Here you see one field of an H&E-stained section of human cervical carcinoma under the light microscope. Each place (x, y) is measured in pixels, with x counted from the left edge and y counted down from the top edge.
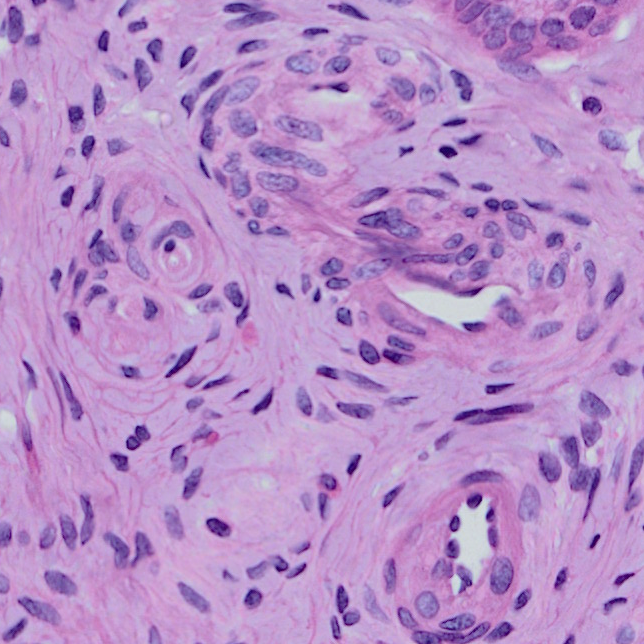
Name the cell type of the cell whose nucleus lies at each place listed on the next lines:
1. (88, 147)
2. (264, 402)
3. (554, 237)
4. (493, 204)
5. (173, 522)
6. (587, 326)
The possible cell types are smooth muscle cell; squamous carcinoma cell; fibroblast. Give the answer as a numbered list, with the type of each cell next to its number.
1. fibroblast
2. fibroblast
3. smooth muscle cell
4. smooth muscle cell
5. fibroblast
6. smooth muscle cell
